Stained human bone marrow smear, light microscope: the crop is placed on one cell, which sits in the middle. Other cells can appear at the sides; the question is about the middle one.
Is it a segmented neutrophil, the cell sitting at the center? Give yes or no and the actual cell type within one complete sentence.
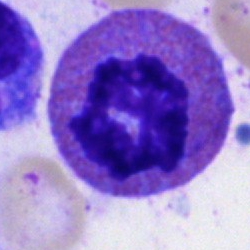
No, the central cell does not represent a segmented neutrophil, but an eosinophil.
